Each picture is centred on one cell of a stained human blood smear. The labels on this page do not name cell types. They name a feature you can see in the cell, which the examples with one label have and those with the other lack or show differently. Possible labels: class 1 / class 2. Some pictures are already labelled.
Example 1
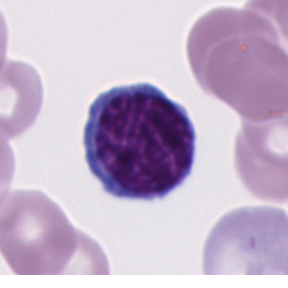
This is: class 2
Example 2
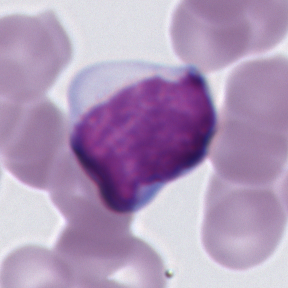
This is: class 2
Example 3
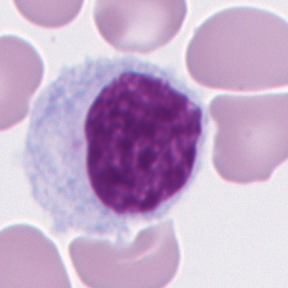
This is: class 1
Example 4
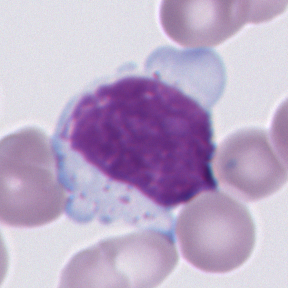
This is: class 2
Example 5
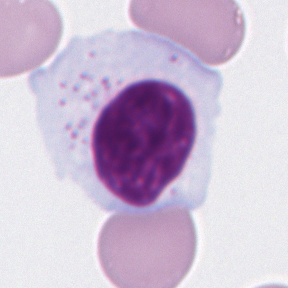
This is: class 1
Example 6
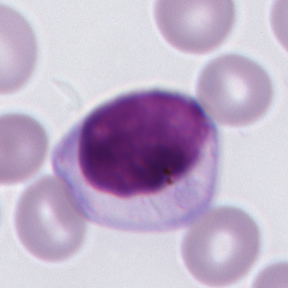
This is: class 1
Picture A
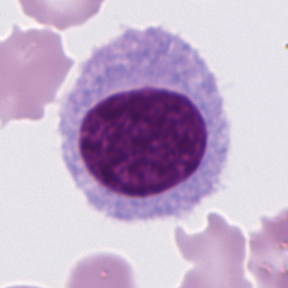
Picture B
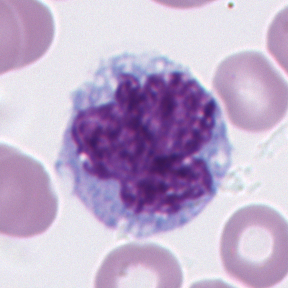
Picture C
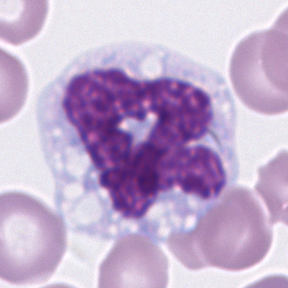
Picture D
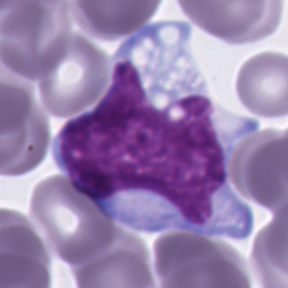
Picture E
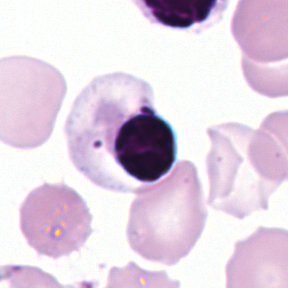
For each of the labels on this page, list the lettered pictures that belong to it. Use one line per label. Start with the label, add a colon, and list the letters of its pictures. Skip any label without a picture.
class 1: A, C, E
class 2: B, D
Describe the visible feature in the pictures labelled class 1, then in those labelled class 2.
Seen in class 1: abundant cytoplasm; seen in class 2: scant cytoplasm.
